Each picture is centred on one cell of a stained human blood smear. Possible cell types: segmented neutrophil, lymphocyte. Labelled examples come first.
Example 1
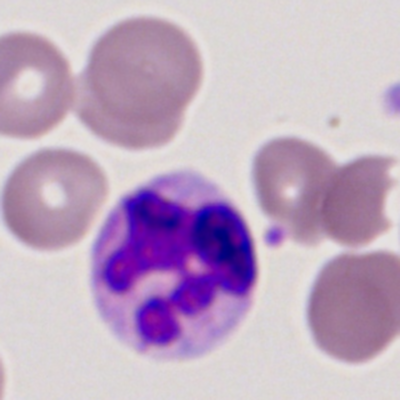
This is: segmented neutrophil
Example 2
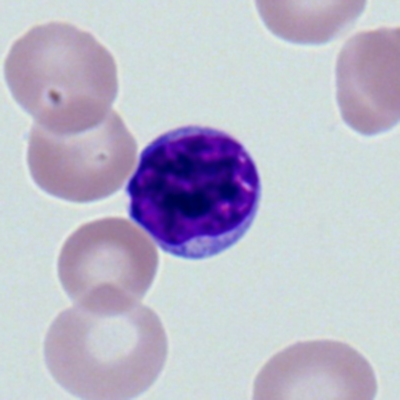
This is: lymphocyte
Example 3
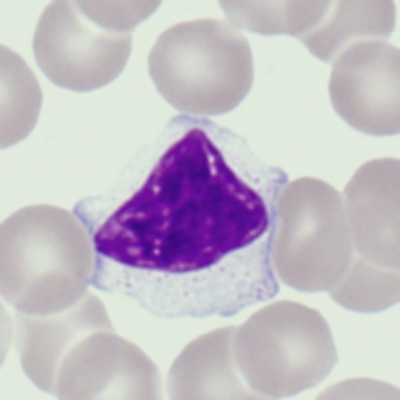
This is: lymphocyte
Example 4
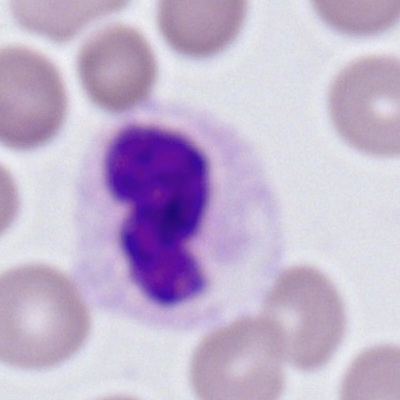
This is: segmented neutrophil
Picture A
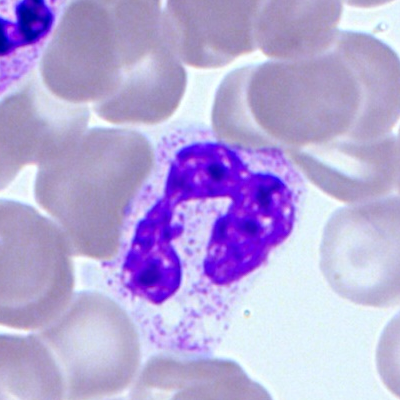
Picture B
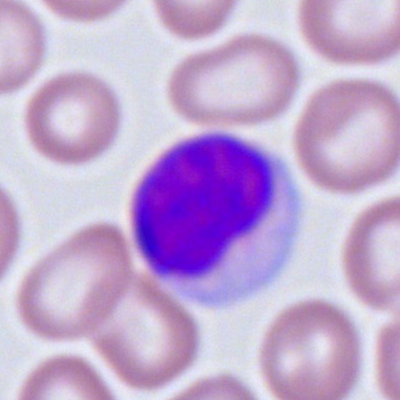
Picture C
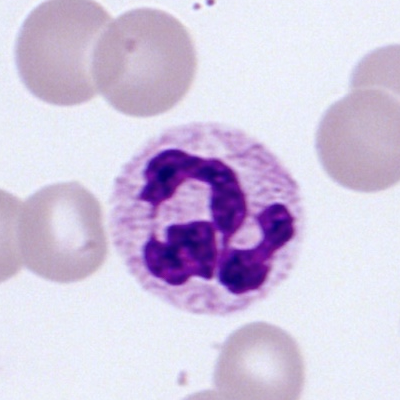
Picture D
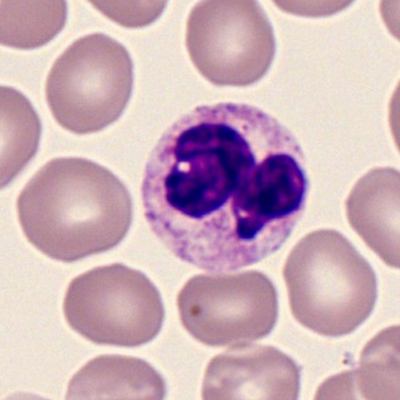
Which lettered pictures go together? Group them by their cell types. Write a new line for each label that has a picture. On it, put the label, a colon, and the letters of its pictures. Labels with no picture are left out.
segmented neutrophil: A, C, D
lymphocyte: B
